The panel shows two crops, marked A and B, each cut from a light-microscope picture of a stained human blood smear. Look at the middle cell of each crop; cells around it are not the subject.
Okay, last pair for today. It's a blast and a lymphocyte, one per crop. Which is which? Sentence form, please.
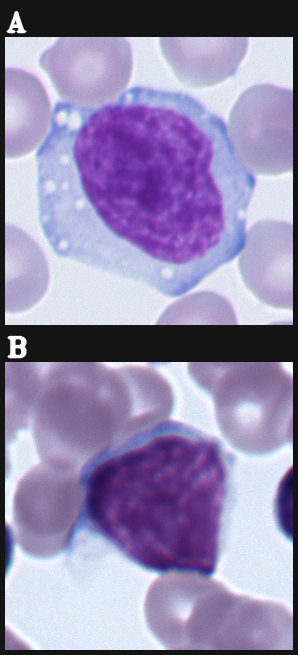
At the centre of crop A lies a blast, and at the centre of crop B lies a lymphocyte.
